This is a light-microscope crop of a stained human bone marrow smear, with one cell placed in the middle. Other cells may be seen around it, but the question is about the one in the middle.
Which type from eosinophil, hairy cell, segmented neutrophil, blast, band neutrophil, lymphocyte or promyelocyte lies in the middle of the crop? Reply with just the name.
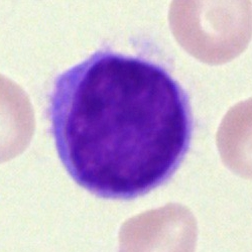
hairy cell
